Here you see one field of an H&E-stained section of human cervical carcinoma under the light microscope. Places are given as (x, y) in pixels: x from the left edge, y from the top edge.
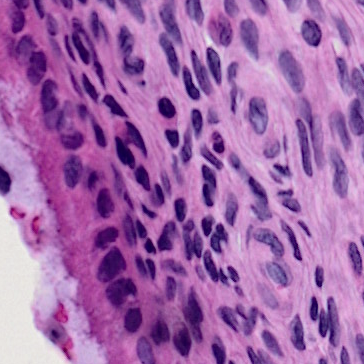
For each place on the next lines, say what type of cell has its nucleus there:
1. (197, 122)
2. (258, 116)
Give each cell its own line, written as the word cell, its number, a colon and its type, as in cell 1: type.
cell 1: fibroblast
cell 2: endothelial cell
